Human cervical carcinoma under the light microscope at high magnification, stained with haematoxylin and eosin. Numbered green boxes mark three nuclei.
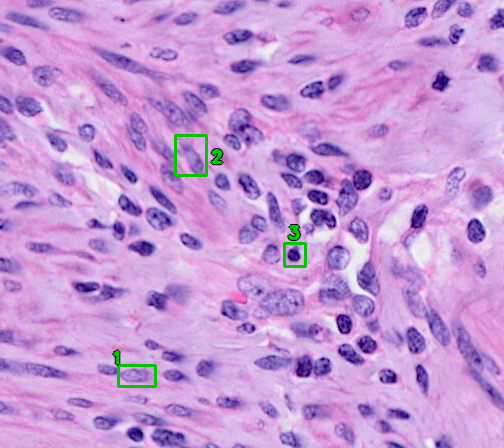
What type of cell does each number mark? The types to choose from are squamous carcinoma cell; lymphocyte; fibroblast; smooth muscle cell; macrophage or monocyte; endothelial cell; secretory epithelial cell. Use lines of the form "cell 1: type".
cell 1: smooth muscle cell
cell 2: smooth muscle cell
cell 3: lymphocyte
